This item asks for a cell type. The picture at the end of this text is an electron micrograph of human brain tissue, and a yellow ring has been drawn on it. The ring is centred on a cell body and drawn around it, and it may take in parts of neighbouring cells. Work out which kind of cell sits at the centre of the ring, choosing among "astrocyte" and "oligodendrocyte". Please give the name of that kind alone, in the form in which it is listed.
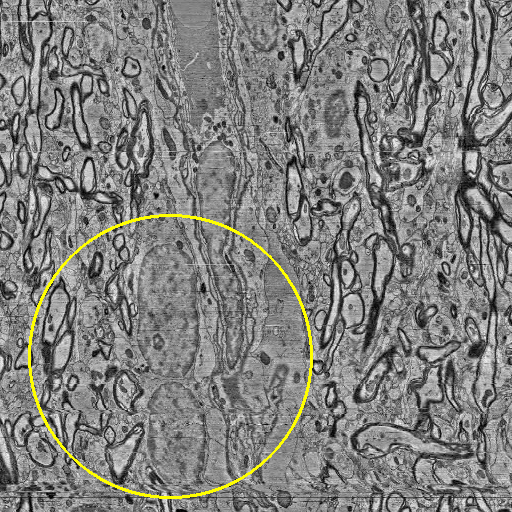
oligodendrocyte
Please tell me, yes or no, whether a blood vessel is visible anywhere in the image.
Yes, one shows.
